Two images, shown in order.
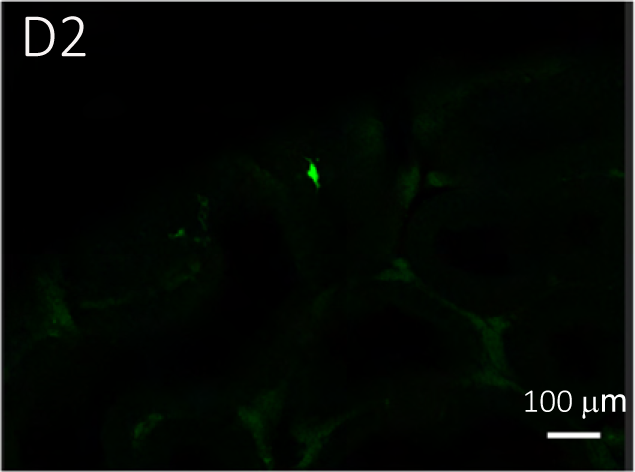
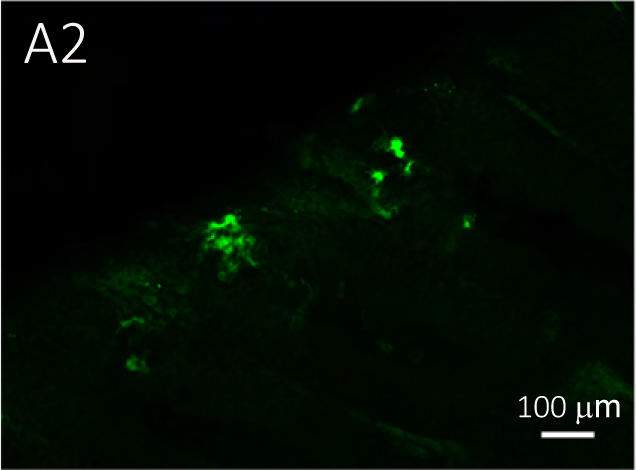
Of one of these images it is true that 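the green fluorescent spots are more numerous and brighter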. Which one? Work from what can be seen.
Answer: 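First image: only one small green spot and faint background. Second image: several bright green clusters of dots across the field. The answer: the second image.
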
